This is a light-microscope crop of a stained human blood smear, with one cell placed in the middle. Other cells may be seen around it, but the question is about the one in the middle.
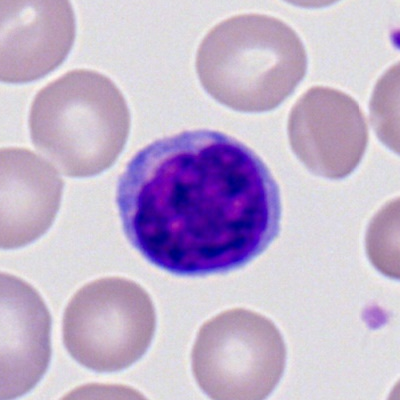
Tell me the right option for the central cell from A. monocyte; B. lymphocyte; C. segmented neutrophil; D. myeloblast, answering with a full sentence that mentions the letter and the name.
The middle of the crop holds a lymphocyte, which points to option B.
